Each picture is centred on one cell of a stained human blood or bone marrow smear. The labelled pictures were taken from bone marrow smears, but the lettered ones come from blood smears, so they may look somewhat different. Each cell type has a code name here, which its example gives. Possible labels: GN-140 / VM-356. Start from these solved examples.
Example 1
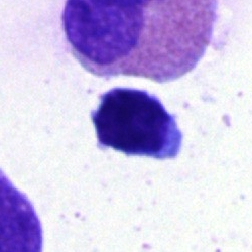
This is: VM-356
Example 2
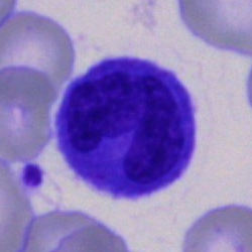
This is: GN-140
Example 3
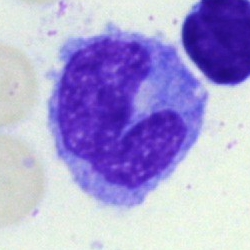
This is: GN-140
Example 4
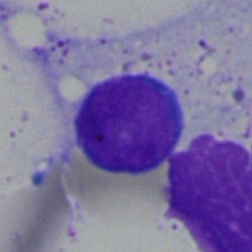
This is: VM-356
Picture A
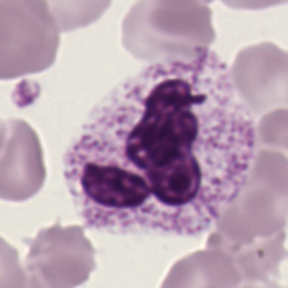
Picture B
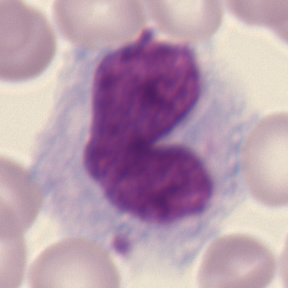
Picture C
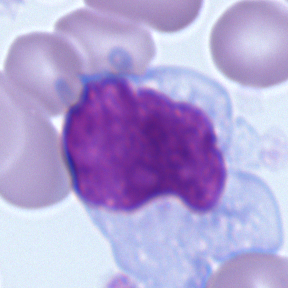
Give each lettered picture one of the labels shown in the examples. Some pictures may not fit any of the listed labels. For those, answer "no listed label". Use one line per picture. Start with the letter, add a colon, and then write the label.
A: no listed label
B: GN-140
C: GN-140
